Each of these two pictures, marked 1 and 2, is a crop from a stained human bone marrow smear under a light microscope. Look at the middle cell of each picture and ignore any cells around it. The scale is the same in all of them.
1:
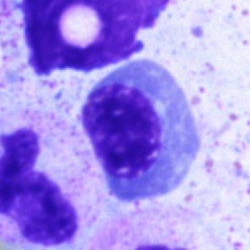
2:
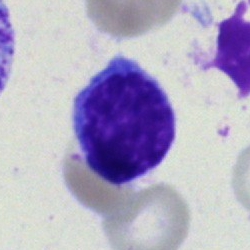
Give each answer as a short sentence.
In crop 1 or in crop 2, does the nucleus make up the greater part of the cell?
In crop 2 the nucleus takes up the larger part of its cell.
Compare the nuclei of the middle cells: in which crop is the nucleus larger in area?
The nucleus in crop 2 is larger, with about 1.5 times the area of the one in crop 1.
